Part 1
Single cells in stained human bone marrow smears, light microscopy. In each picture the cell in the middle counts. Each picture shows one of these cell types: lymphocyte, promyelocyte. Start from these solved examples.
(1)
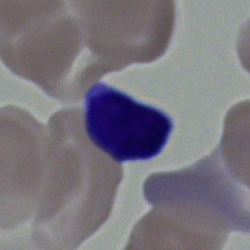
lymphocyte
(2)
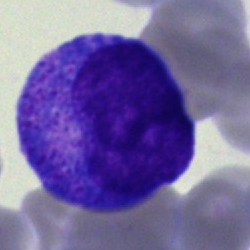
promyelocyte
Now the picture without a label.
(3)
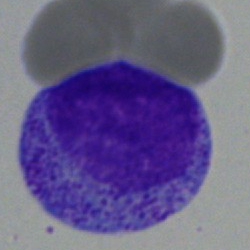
promyelocyte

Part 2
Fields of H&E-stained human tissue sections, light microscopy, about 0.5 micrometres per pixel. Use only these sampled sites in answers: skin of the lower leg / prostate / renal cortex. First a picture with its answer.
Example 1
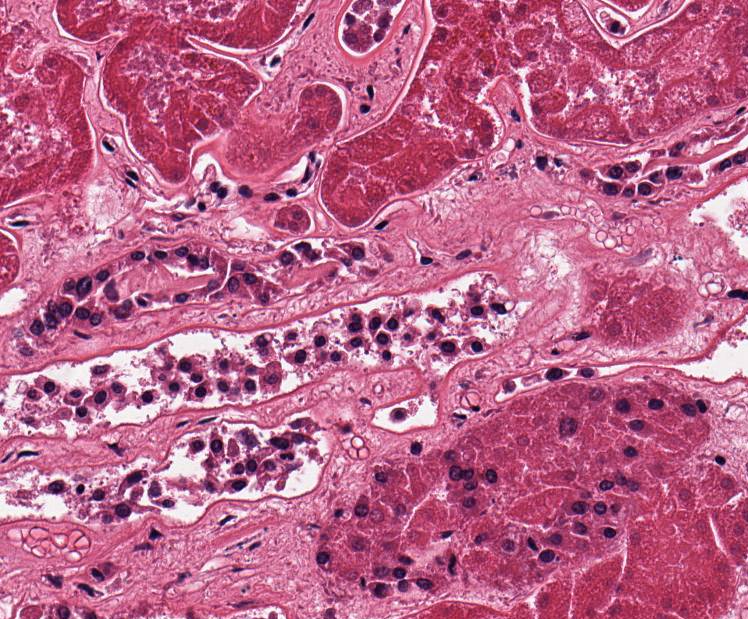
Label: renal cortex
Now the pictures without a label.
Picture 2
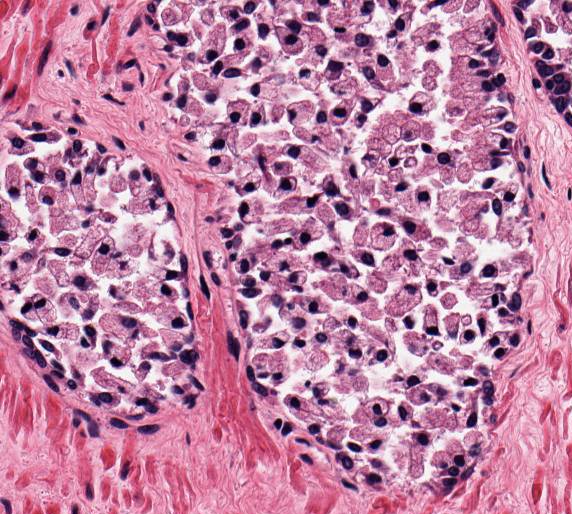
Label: prostate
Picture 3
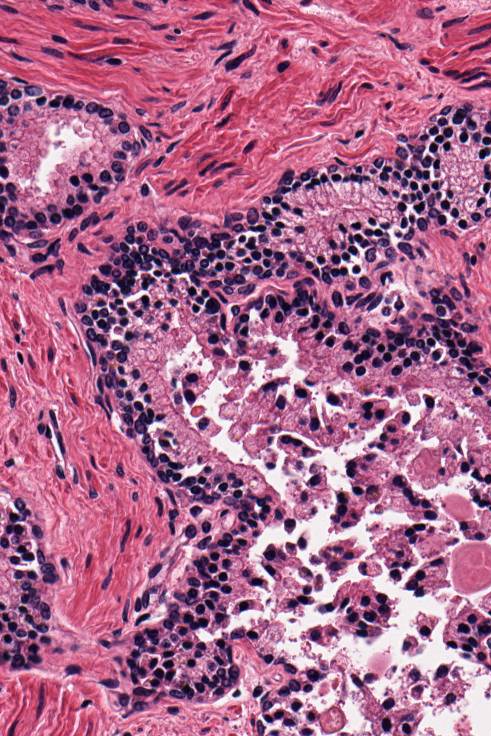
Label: prostate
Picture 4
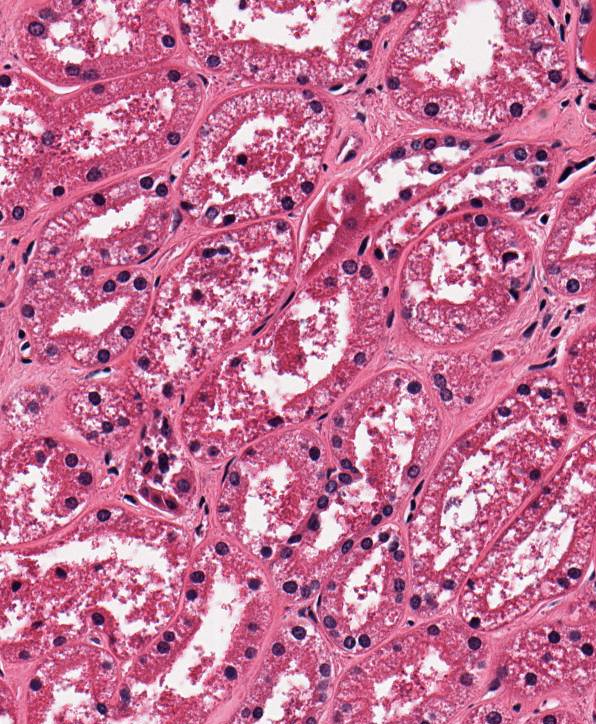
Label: renal cortex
